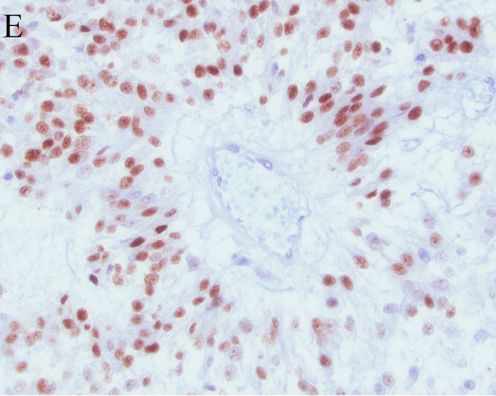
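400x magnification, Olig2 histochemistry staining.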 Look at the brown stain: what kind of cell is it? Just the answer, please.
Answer: Neoplastic cells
